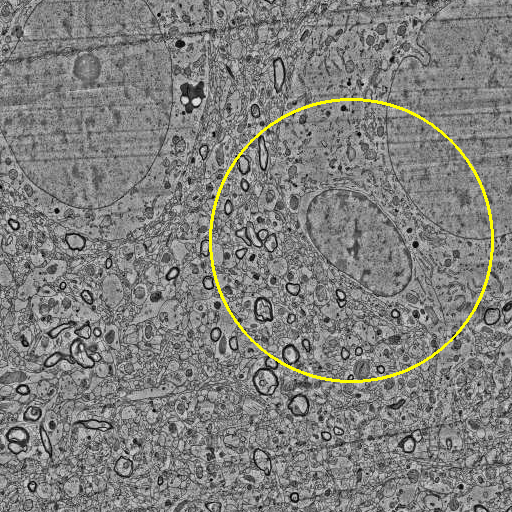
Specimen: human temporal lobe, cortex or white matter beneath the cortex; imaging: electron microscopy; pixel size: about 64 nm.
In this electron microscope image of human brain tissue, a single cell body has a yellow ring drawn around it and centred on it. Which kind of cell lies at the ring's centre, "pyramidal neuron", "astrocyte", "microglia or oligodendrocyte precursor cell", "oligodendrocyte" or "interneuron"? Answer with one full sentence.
It is a microglial cell or oligodendrocyte precursor cell whose cell body lies at the centre of the yellow ring here.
